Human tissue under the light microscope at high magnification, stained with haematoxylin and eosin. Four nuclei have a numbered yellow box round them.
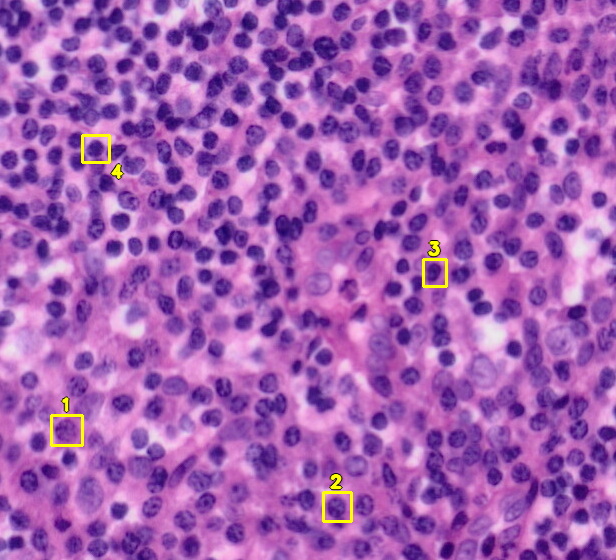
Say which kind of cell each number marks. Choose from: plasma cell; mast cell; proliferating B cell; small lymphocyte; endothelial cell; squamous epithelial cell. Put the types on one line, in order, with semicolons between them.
plasma cell; plasma cell; plasma cell; small lymphocyte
